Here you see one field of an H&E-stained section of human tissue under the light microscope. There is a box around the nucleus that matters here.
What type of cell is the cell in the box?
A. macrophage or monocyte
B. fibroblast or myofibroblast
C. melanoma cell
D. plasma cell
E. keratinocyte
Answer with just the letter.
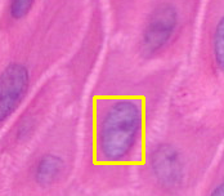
E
